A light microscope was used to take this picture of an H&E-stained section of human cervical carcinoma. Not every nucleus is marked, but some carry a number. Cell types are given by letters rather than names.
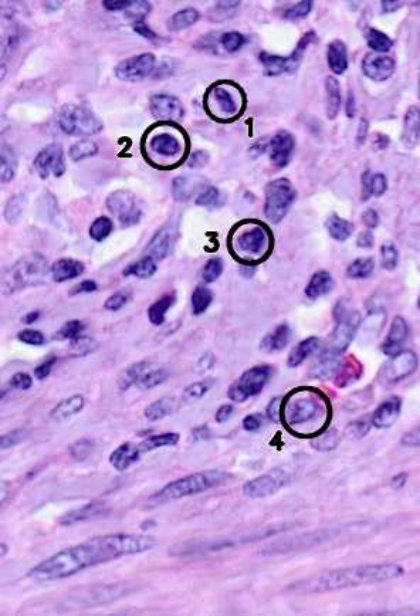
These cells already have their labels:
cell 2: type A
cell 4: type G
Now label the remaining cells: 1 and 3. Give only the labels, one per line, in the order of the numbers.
type A
type A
